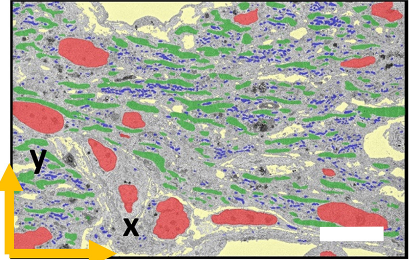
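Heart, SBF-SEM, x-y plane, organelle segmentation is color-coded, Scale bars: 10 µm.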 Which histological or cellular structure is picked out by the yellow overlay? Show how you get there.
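Yellow areas fill the spaces between the fibre bundles. Yellow areas contain no organelles. Broad yellow areas run along the top and bottom of the image. So: extracellular matrix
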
